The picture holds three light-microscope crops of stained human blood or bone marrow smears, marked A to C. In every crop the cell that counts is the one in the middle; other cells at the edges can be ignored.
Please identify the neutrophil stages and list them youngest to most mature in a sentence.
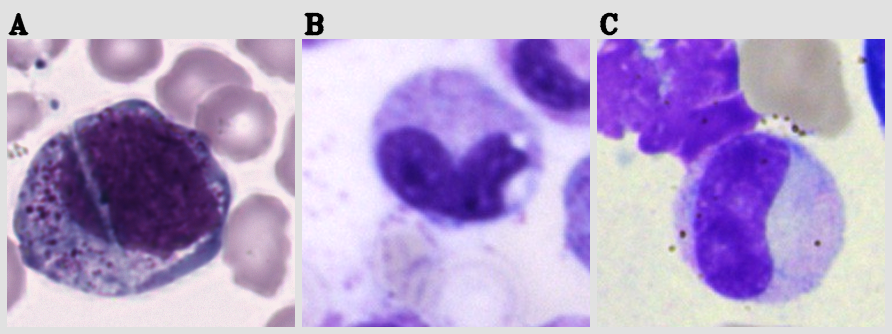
Arranged from least mature to most mature, the sequence reads crop A (a promyelocyte), crop B (a metamyelocyte) and crop C (a band neutrophil).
